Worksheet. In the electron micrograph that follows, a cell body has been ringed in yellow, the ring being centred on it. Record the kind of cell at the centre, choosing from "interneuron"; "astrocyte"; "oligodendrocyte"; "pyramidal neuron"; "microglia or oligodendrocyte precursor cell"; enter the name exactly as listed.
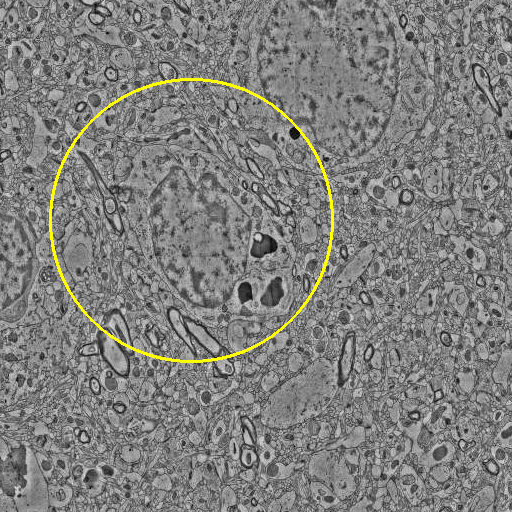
interneuron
